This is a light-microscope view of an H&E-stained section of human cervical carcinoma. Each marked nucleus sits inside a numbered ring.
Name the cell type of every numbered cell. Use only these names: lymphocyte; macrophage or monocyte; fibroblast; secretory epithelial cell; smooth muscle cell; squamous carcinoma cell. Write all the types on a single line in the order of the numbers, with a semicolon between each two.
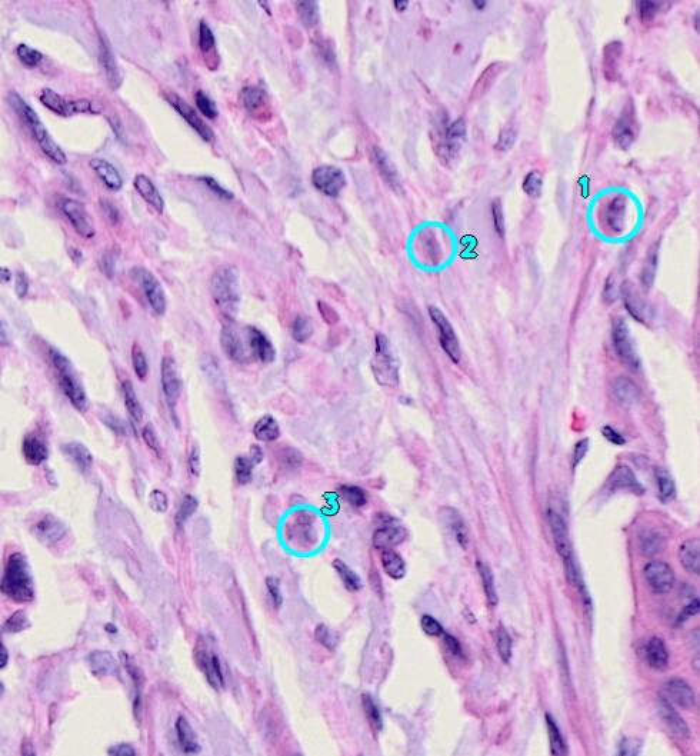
macrophage or monocyte; fibroblast; macrophage or monocyte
